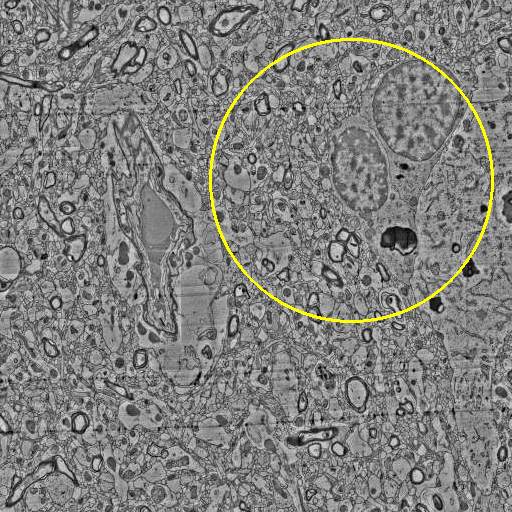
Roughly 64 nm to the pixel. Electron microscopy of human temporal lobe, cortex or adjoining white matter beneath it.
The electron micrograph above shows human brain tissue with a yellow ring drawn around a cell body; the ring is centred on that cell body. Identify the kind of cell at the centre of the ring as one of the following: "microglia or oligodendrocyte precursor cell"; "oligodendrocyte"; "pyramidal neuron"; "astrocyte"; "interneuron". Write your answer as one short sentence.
The cell at the centre of the ring is an oligodendrocyte.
